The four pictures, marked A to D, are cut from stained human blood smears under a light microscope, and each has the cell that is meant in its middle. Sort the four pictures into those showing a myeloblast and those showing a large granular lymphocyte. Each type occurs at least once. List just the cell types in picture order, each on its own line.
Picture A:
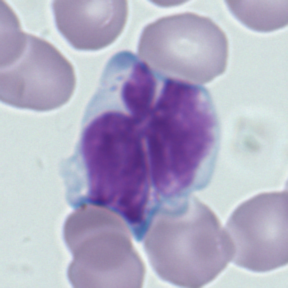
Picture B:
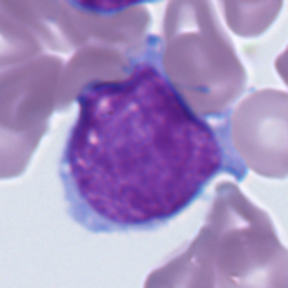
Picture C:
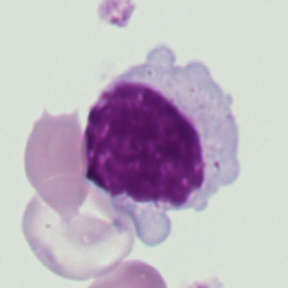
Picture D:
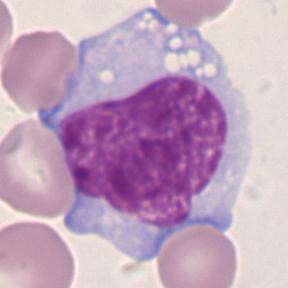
myeloblast
myeloblast
large granular lymphocyte
myeloblast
